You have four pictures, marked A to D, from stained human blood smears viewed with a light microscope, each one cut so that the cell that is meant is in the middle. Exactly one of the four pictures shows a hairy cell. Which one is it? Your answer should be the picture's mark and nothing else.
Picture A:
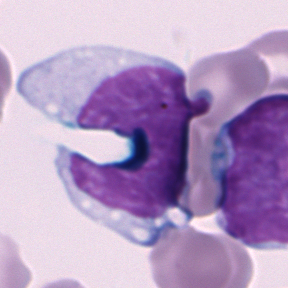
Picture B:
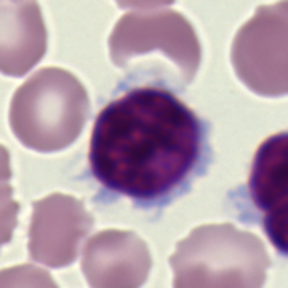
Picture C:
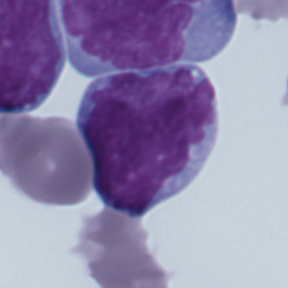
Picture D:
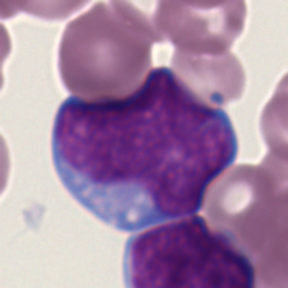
B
